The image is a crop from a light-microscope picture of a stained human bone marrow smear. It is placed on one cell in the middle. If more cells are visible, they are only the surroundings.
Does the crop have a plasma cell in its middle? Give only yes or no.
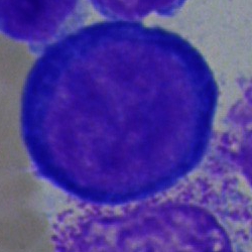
no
